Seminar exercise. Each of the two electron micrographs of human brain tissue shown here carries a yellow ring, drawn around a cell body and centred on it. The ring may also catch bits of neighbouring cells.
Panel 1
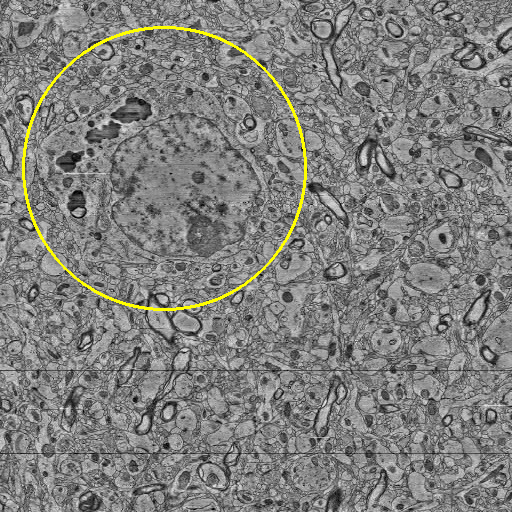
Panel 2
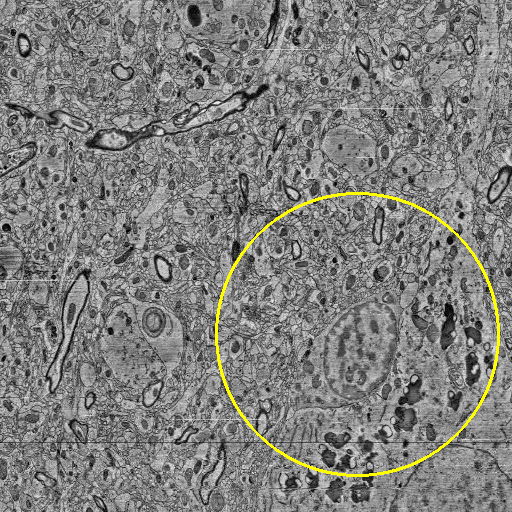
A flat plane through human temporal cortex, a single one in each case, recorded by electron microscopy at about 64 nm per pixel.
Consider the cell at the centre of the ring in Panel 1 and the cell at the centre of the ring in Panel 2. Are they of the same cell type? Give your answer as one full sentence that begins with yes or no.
No, the two cells are of two types.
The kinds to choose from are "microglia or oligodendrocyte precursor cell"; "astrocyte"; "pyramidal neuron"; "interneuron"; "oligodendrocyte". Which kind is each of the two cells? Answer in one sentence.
Of the two, the first cell is an interneuron and the second cell is an oligodendrocyte.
